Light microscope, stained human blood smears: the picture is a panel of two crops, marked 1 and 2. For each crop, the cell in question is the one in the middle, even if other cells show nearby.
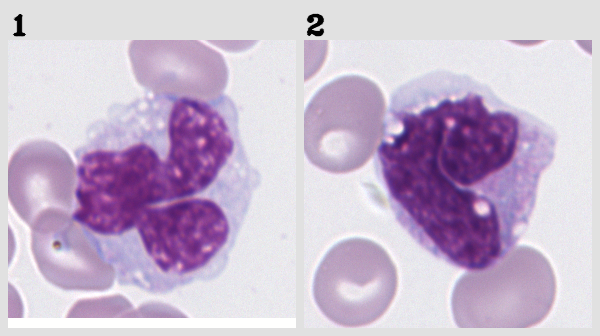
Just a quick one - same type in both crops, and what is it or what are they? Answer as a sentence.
Yes, the cells centred in the two crops are both monocytes.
